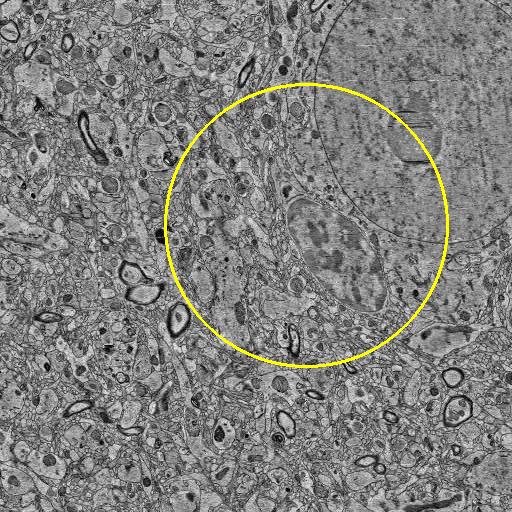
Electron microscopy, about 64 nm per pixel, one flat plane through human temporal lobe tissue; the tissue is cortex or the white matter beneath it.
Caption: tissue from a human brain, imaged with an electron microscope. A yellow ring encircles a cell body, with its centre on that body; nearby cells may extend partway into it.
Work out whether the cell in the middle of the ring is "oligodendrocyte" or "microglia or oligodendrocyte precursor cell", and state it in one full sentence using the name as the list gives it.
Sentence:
In the picture, the cell that the yellow ring surrounds at its centre is a microglial cell or oligodendrocyte precursor cell.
